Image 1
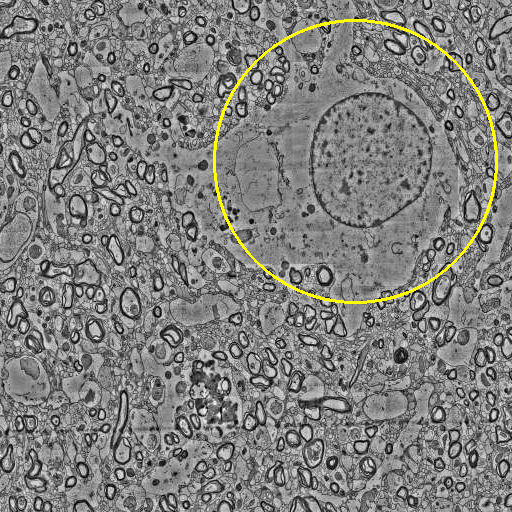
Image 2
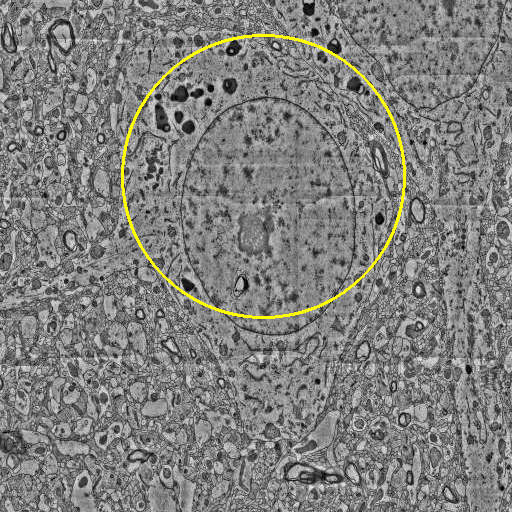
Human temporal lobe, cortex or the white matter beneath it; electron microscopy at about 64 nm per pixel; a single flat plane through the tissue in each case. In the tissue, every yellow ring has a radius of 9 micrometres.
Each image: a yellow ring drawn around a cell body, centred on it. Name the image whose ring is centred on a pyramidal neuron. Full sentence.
That is Image 2.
